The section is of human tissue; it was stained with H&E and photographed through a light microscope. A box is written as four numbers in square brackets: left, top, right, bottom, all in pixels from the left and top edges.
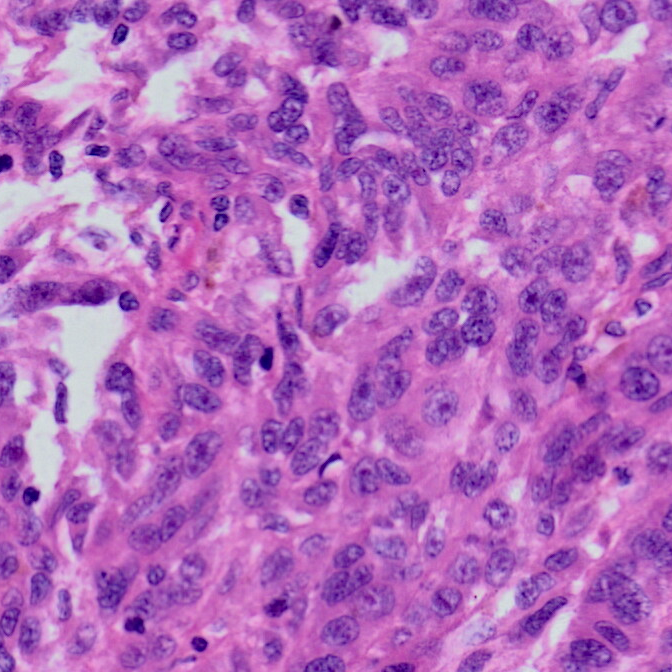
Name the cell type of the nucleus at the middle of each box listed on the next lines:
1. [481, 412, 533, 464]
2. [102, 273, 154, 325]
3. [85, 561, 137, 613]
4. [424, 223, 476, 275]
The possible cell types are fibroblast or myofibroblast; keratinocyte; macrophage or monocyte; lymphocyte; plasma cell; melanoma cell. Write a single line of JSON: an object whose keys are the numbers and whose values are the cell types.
{"1": "melanoma cell", "2": "lymphocyte", "3": "melanoma cell", "4": "melanoma cell"}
